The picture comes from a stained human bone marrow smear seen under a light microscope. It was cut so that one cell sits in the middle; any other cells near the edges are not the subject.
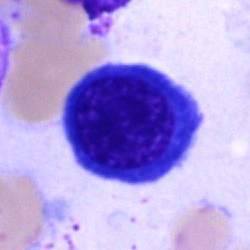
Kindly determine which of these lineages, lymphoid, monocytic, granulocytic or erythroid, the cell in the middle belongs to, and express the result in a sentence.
The central cell derives from the erythroid lineage.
